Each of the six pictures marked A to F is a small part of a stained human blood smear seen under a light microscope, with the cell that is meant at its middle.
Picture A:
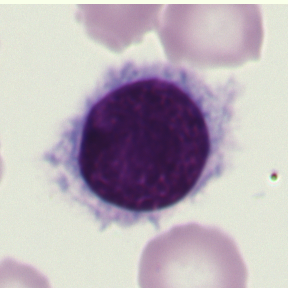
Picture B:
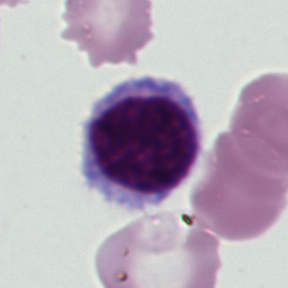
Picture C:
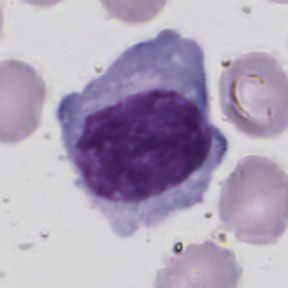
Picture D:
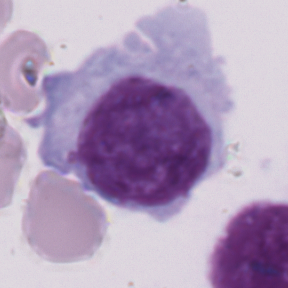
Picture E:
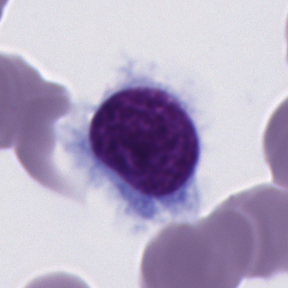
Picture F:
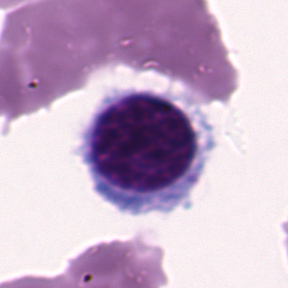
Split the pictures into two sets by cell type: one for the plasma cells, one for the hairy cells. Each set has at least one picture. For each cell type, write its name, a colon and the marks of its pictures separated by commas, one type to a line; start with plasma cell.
plasma cell: C, D
hairy cell: A, B, E, F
